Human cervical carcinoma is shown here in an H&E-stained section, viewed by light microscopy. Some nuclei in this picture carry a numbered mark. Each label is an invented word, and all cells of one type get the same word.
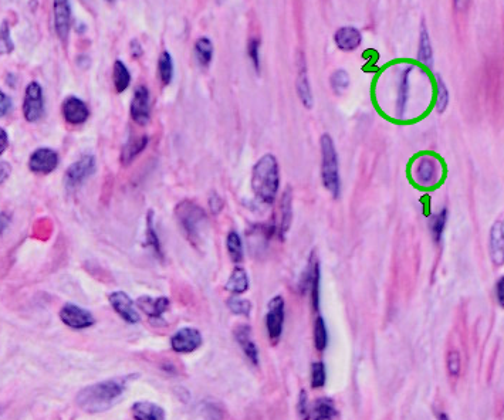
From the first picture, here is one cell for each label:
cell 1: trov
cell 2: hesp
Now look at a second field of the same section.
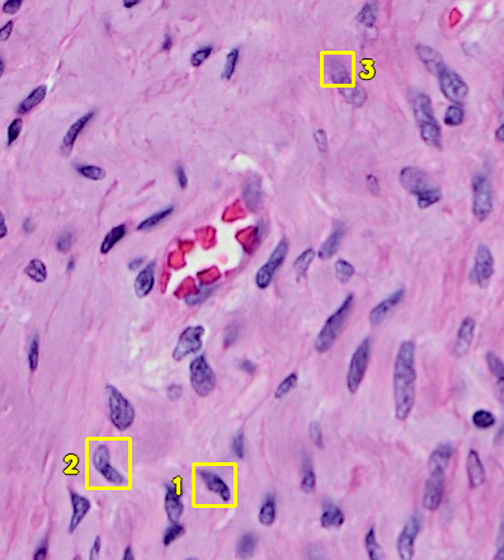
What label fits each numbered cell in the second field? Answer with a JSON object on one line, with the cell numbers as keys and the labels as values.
{"1": "hesp", "2": "hesp", "3": "trov"}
